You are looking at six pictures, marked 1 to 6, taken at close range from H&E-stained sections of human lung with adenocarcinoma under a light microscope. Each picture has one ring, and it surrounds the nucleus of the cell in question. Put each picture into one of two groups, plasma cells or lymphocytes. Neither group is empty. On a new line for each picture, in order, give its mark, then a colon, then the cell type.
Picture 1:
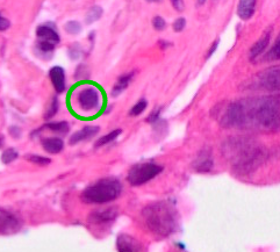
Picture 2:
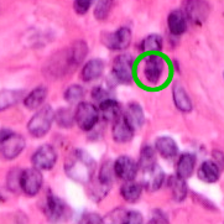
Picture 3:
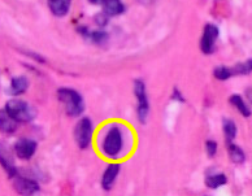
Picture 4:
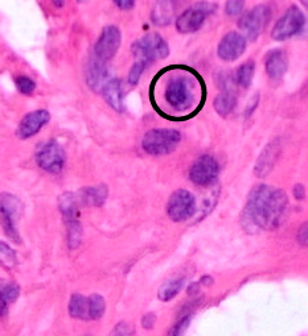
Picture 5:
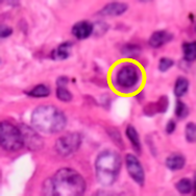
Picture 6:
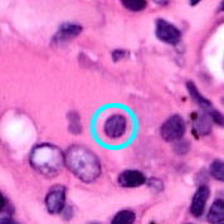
1: lymphocyte
2: lymphocyte
3: lymphocyte
4: plasma cell
5: plasma cell
6: lymphocyte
